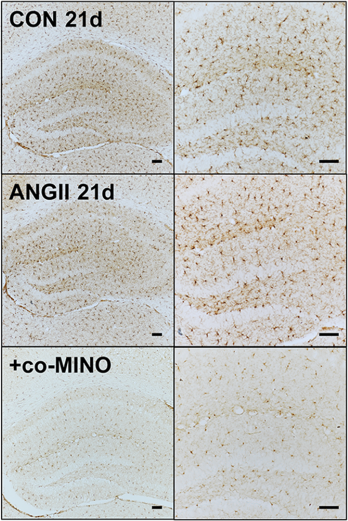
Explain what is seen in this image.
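At higher power each stained cell has a small dark body and several thin branching processes radiating out, and the cells lie spaced apart from one another. The density and intensity of the brown cells differ visibly between rows, being palest in the bottom row.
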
